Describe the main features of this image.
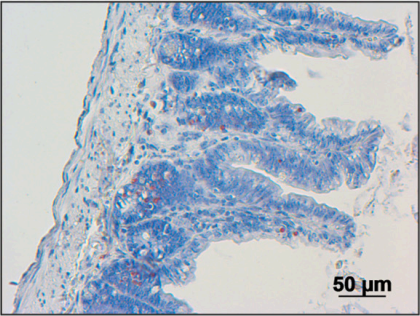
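The gut wall runs along the left with a loose layer beneath the mucosa, and slender villi covered by a single layer of columnar cells project to the right. A few red-brown dots appear among the blue nuclei, mostly in the crypts near the base.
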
